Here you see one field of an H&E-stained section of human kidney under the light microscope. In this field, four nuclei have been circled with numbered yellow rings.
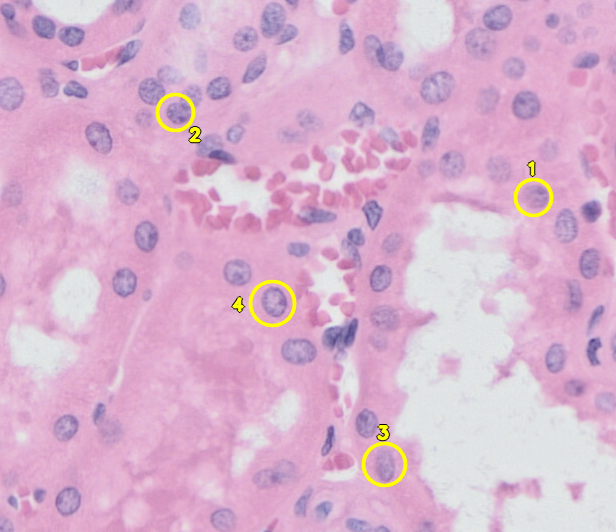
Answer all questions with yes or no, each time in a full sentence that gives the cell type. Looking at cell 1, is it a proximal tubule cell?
Yes, the cell at marker 1 is a proximal tubule cell.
